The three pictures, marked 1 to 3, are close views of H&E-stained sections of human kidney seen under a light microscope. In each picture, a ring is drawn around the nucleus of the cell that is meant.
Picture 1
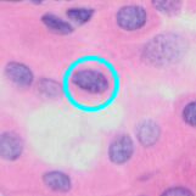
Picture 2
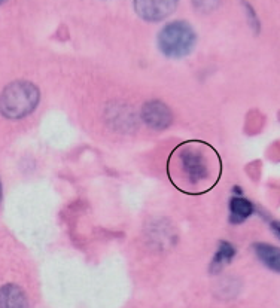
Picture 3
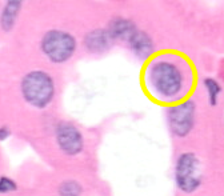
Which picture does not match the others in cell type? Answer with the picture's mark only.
2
